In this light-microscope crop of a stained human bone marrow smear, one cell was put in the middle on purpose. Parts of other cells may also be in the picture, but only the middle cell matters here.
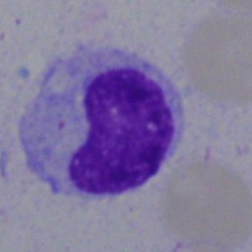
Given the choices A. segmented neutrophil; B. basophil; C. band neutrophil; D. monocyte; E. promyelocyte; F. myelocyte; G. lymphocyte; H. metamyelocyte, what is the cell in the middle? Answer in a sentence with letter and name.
Located in the middle of the crop is a metamyelocyte, and option H is therefore correct.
